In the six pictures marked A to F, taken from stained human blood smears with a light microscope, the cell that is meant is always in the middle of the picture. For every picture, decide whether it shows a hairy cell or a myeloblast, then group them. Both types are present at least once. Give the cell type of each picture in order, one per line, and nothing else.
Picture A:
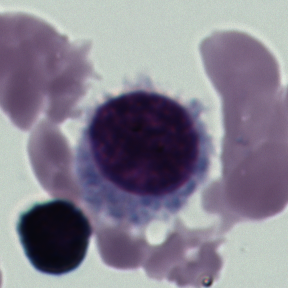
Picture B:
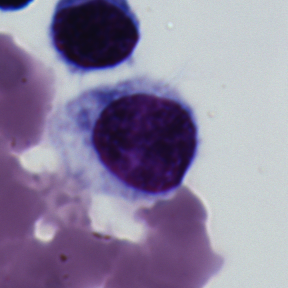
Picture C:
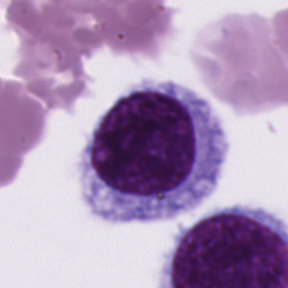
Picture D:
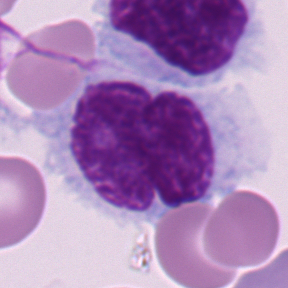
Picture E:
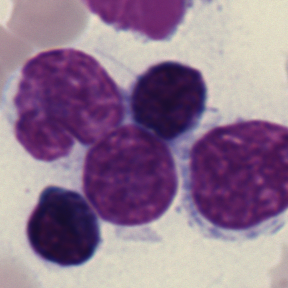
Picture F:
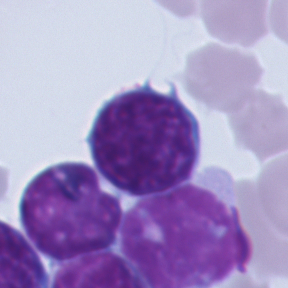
hairy cell
hairy cell
hairy cell
hairy cell
myeloblast
myeloblast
